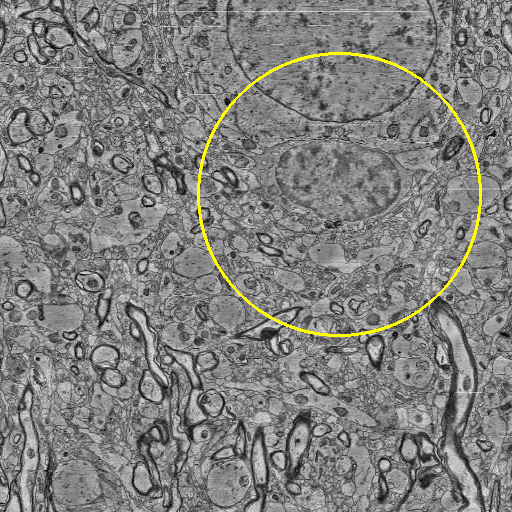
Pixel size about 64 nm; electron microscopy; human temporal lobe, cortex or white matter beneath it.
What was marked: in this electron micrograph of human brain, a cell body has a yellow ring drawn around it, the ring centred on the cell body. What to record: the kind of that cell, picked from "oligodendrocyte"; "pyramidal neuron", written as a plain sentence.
The centred cell is an oligodendrocyte.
